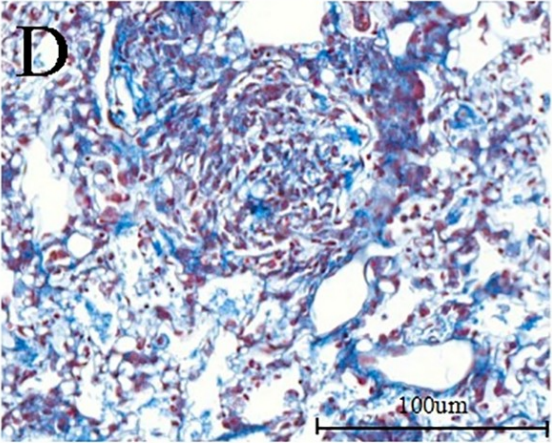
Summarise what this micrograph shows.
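Lung tissue with a rounded nodule of tightly packed, spindle-shaped cells with red-purple nuclei in the upper centre. Blue-stained fibrous strands surround the nodule, run into it and spread through the neighbouring tissue. The septa around the few remaining air spaces are thickened and contain many red-purple nuclei. The regular thin-walled alveolar pattern is largely lost.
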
